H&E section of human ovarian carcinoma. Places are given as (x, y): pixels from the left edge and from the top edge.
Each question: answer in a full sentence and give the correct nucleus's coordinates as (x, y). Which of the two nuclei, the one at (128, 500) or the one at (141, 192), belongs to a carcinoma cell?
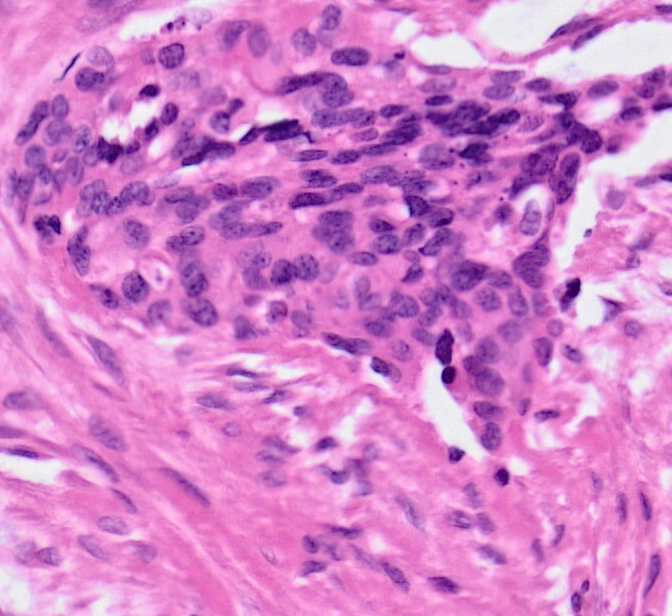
The nucleus that sits at (141, 192) is the nucleus of a carcinoma cell.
